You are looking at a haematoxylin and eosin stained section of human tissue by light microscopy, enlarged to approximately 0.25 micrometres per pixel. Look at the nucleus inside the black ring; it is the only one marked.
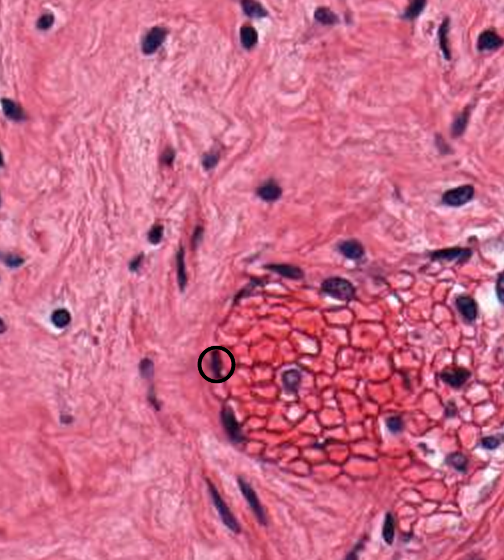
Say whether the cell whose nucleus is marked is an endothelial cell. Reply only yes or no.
yes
